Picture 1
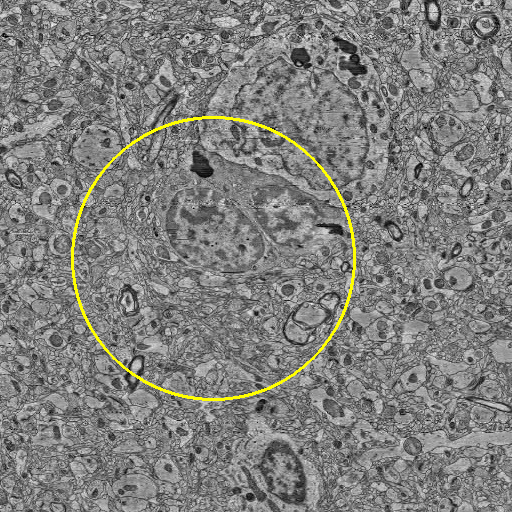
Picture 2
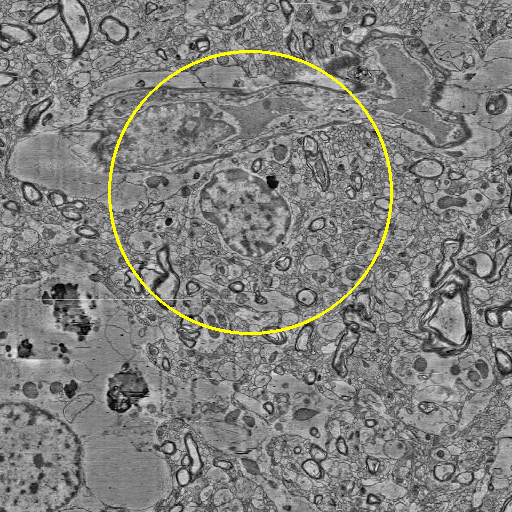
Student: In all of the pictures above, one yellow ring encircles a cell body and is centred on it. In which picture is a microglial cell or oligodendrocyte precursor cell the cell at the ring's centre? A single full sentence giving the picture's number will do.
Picture number 2 has the wanted cell right at the centre of its ring.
